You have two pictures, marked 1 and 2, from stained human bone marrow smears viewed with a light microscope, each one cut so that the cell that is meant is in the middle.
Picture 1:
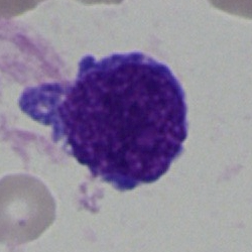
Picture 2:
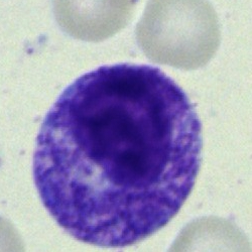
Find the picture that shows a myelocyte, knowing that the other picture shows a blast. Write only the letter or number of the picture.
2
